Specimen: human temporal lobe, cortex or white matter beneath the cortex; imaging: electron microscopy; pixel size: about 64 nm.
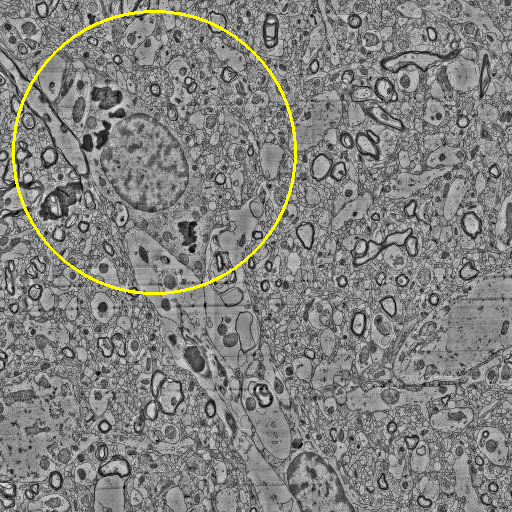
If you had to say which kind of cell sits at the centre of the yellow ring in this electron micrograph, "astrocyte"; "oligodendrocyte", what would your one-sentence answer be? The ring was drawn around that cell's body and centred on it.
The cell sitting at the centre of the ring is an oligodendrocyte.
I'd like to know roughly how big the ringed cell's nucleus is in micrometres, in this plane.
Approximately 7 micrometres long and 5 micrometres wide, in this plane.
